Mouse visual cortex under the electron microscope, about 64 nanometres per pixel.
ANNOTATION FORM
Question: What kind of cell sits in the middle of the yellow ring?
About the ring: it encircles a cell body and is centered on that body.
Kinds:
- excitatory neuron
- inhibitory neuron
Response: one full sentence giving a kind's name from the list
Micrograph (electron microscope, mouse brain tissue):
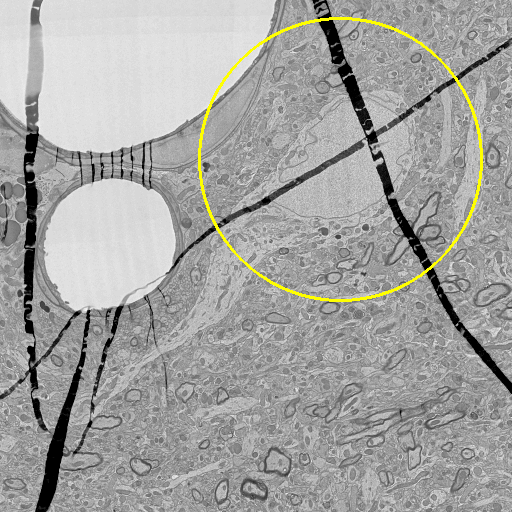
The kind of cell found at the center of the yellow ring in the micrograph is an inhibitory neuron.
